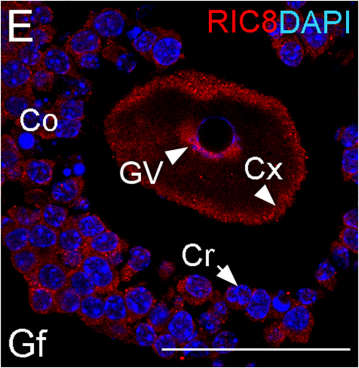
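A very large, rounded-polygonal cell fills the centre, its cytoplasm finely speckled red with a brighter red rim along its outer edge. Within it sits a round, empty-looking nucleus with a thin bright outline, set off to one side of the centre. Around this cell, separated from it by a dark clear band, lie layers of small cells with round blue nuclei and faint red cytoplasm, packed closely together.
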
